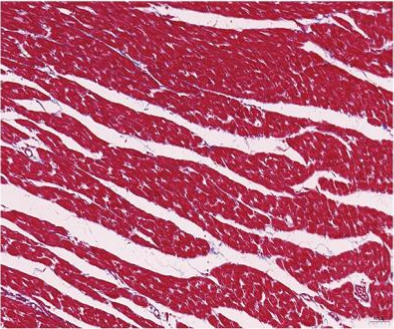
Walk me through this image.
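This is heart muscle, with the cardiomyocytes cut along their length and stained a deep red. They form long, closely packed fibres gathered into parallel bundles that run diagonally across the field. Pale, mostly empty clefts separate the bundles, and between them there is only a very thin trace of blue-stained fibrous material. The fibres look even in width and tone, with no patches of blue tissue breaking into the muscle. No area of the muscle appears replaced or disrupted.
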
